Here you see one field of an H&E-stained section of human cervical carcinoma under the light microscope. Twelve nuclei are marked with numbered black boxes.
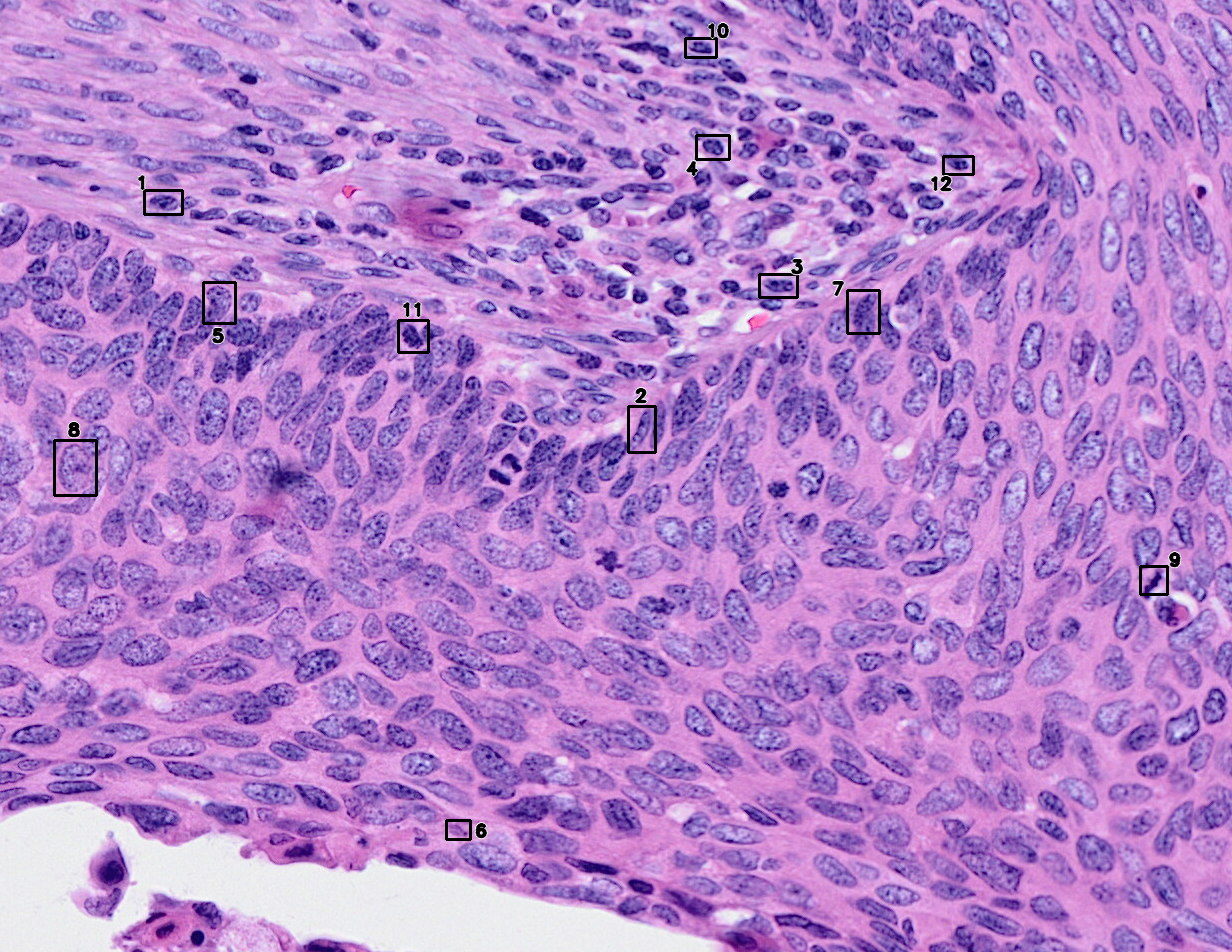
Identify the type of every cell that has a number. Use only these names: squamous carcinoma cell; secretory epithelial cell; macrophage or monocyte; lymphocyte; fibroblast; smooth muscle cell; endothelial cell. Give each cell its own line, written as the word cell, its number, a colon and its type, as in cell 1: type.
cell 1: lymphocyte
cell 2: squamous carcinoma cell
cell 3: lymphocyte
cell 4: lymphocyte
cell 5: squamous carcinoma cell
cell 6: squamous carcinoma cell
cell 7: squamous carcinoma cell
cell 8: squamous carcinoma cell
cell 9: squamous carcinoma cell
cell 10: lymphocyte
cell 11: squamous carcinoma cell
cell 12: lymphocyte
